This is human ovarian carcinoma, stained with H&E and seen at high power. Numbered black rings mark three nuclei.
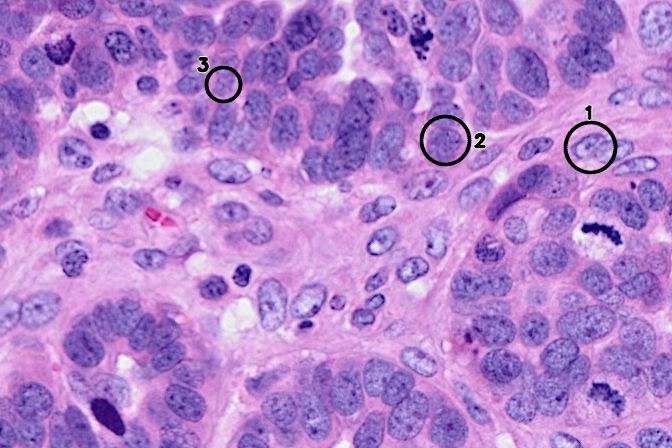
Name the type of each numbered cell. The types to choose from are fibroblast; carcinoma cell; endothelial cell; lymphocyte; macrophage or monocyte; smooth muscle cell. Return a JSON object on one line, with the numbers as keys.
{"1": "fibroblast", "2": "carcinoma cell", "3": "carcinoma cell"}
